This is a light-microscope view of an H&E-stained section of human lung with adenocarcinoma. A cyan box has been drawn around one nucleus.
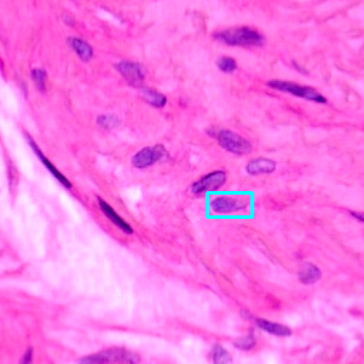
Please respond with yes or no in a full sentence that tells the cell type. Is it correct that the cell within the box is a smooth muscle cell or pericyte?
Yes, by cell type, the cell within the box is a smooth muscle cell or pericyte.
